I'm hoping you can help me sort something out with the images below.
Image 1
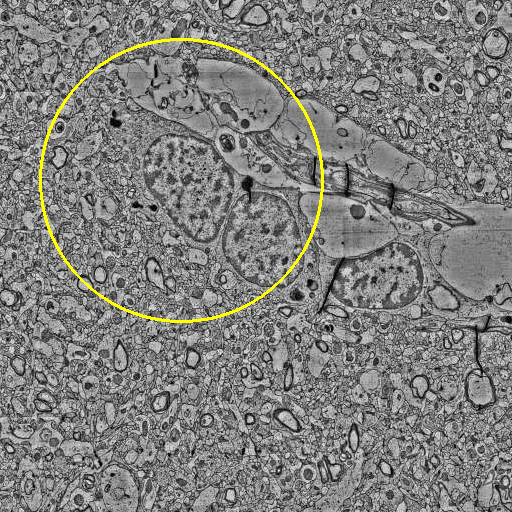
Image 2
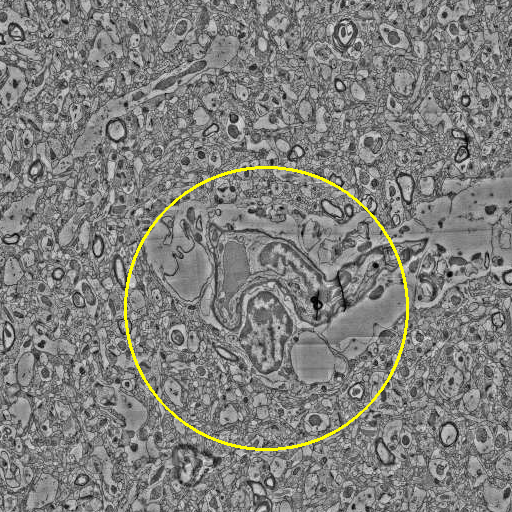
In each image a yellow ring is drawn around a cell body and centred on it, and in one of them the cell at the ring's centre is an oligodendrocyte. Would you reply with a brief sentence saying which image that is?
In Image 1, the cell at the centre of the ring is the one you asked about.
